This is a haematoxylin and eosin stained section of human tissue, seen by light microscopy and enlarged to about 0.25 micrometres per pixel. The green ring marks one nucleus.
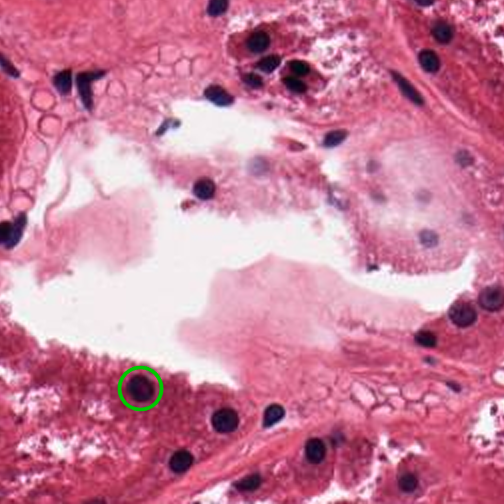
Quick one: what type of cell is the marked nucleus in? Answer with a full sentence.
The marked nucleus is that of a proximal tubule cell in this section.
